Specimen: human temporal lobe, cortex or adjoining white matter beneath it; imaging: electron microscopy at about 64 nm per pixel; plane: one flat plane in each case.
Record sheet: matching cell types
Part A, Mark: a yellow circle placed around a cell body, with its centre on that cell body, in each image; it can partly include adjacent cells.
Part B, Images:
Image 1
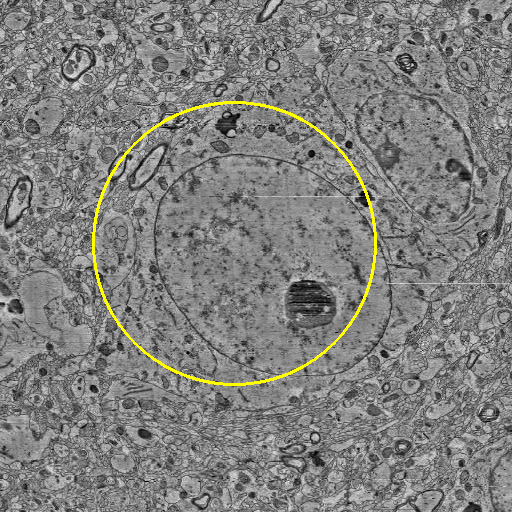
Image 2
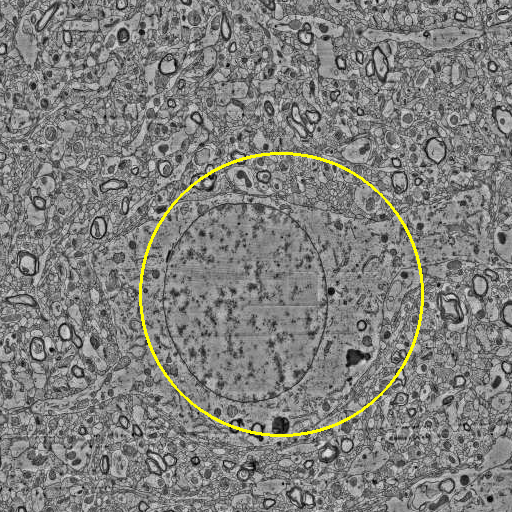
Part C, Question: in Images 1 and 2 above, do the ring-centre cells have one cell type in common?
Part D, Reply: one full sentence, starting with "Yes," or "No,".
Yes, the ring-centre cells of Image 1 and Image 2 are both of a single cell type.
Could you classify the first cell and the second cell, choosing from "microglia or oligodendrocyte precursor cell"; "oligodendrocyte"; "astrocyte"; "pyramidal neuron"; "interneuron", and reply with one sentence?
The first and the second cell are each a pyramidal neuron.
